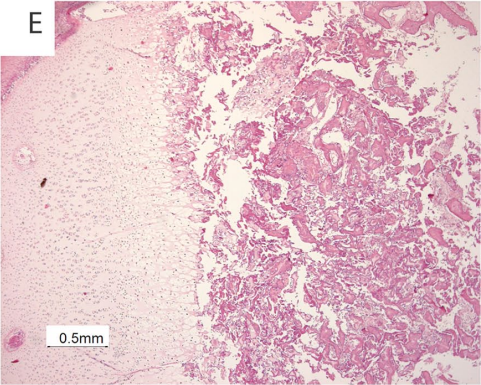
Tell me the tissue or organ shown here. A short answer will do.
Growth plate.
